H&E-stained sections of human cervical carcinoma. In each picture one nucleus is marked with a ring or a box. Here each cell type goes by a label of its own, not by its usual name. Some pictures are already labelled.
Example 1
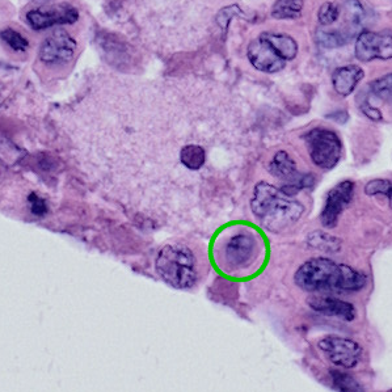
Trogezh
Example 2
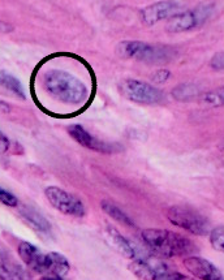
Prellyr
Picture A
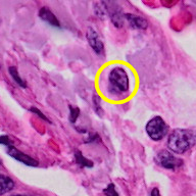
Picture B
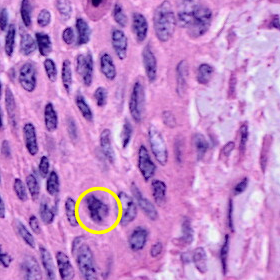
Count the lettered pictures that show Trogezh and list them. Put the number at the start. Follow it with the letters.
1: B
